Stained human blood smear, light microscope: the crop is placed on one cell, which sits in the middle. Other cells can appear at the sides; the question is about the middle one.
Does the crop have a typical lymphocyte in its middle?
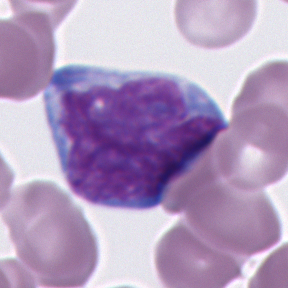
no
